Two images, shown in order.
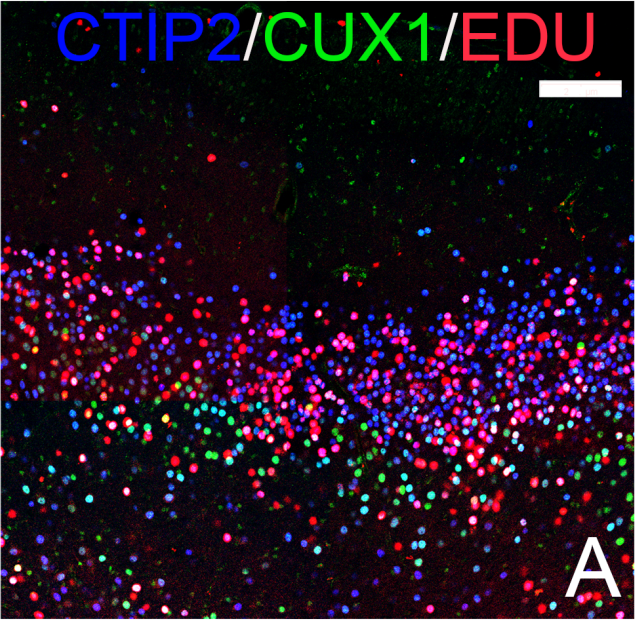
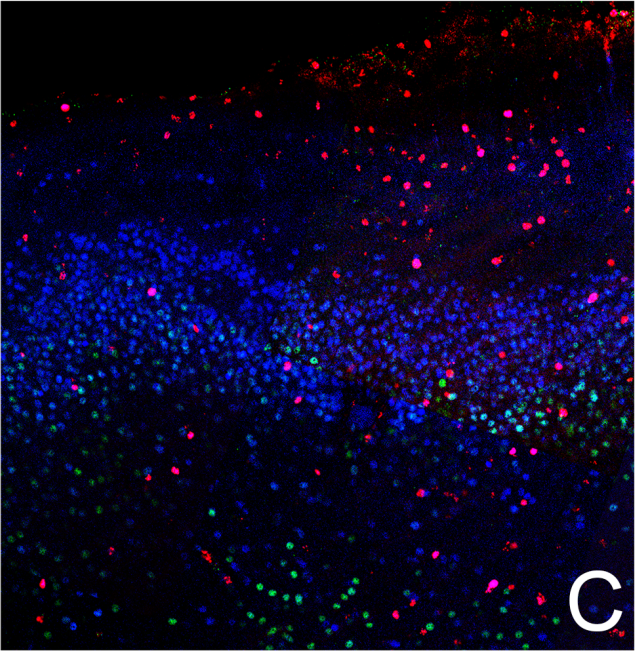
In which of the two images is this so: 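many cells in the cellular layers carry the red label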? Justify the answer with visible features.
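The first image. Second image: red nuclei are sparse and scattered, mostly outside the dense blue cell band. First image: red and pink nuclei are densely packed throughout the central cellular band.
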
